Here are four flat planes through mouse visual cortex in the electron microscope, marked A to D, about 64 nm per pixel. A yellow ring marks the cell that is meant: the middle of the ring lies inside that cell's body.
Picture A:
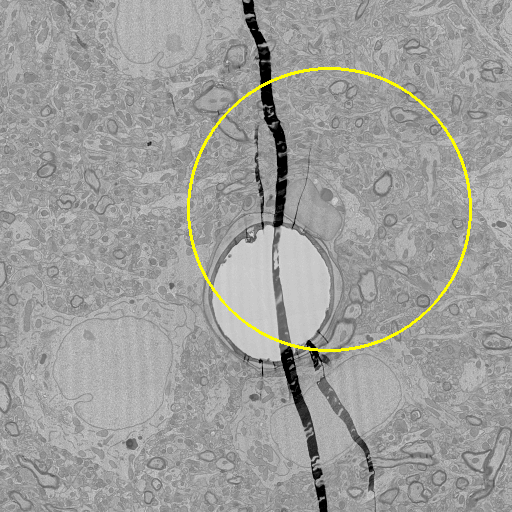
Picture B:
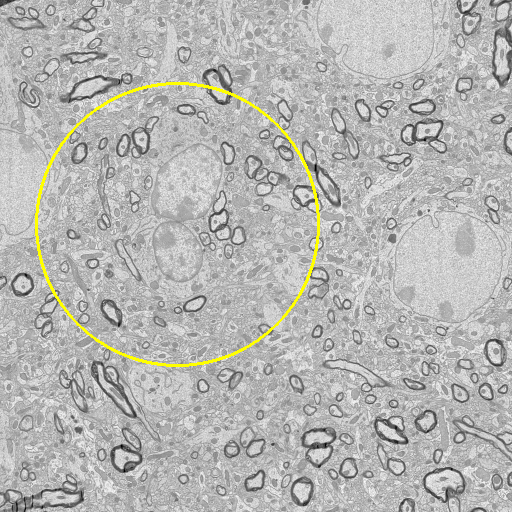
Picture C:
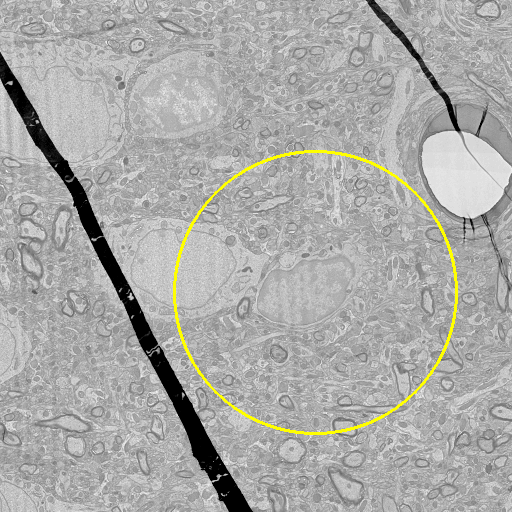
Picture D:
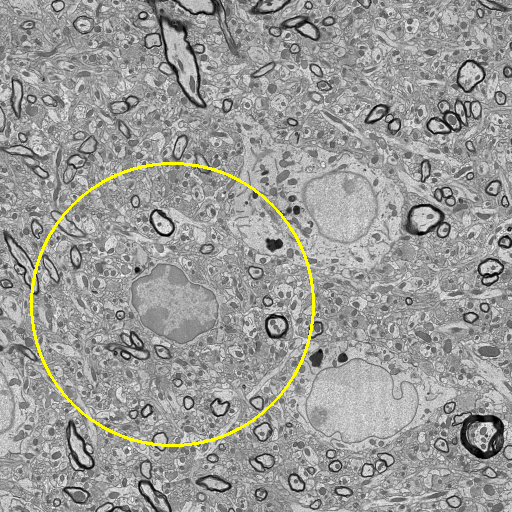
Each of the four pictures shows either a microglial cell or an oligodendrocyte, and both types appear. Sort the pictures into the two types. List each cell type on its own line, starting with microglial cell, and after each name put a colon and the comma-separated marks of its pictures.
microglial cell: A, C, D
oligodendrocyte: B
